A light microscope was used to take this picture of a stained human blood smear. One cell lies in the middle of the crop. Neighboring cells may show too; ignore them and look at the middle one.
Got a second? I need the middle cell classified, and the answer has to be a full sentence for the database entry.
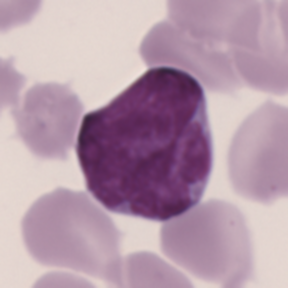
The cell at the heart of this crop is a myeloblast.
